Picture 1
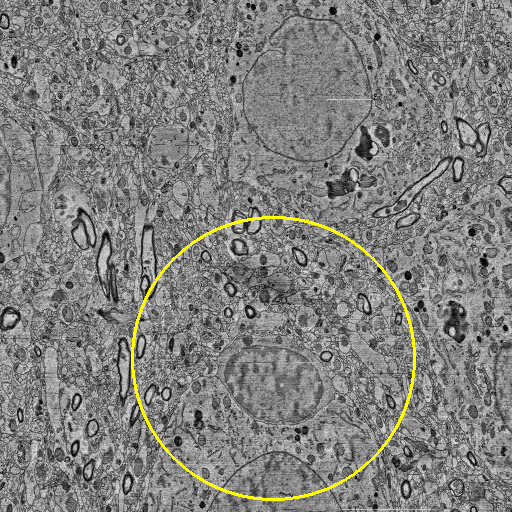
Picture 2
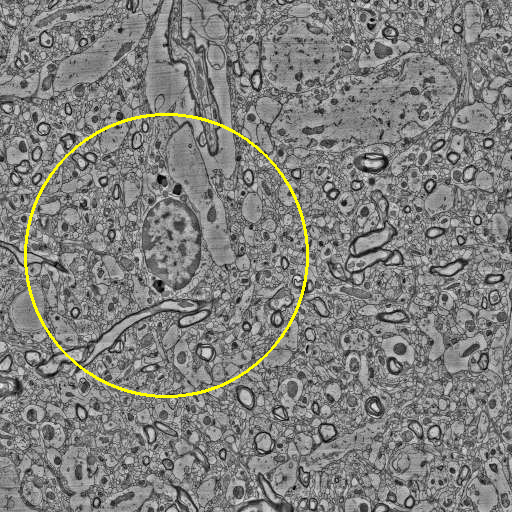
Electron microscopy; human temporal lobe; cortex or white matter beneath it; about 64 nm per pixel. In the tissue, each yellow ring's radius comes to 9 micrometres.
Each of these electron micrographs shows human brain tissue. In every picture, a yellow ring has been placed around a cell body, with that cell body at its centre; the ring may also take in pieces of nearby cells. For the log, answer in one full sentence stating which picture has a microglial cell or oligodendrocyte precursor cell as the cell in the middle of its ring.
In picture 2, the cell at the centre of the yellow ring is the requested one.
